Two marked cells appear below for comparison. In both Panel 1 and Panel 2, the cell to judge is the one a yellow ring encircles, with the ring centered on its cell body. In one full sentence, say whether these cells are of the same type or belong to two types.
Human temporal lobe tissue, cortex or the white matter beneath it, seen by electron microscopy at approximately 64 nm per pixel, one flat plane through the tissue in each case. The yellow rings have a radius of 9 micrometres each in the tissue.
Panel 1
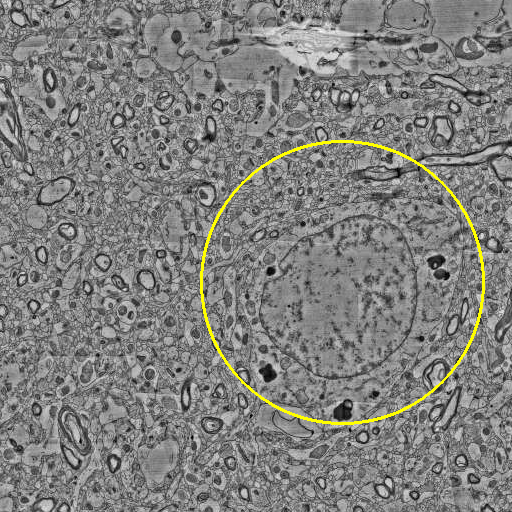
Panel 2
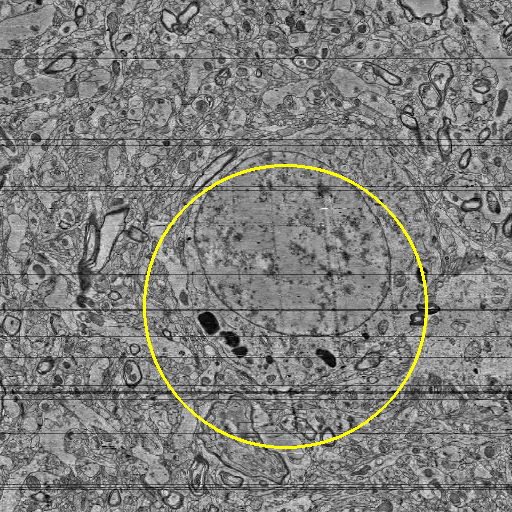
The cell centered in the Panel 1 ring and the one in Panel 2 are of the same type.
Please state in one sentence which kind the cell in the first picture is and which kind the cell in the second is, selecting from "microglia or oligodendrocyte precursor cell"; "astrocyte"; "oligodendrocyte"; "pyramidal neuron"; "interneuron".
Each of the ringed cells, first and second, is a pyramidal neuron.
